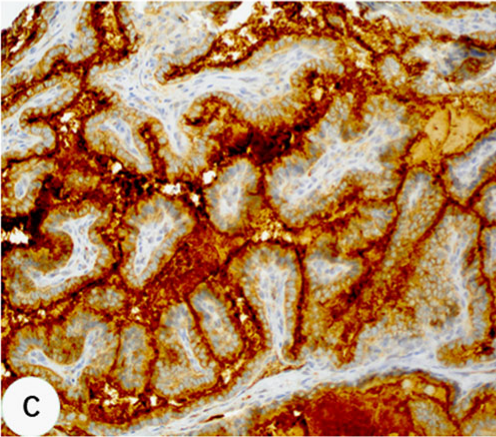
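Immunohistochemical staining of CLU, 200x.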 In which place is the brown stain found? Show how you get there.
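Brown stain lines the free apical border of the epithelium. Stain fills the spaces between the papillae while the cell bodies stay paler.
Answer: luminal surface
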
